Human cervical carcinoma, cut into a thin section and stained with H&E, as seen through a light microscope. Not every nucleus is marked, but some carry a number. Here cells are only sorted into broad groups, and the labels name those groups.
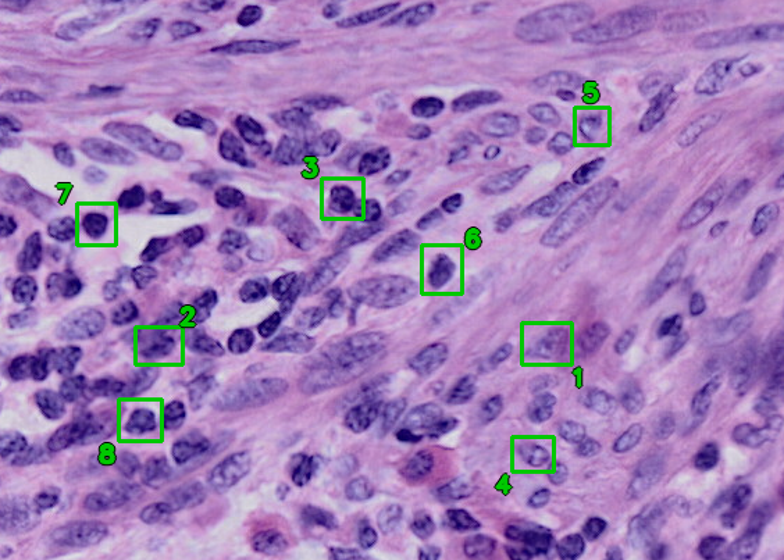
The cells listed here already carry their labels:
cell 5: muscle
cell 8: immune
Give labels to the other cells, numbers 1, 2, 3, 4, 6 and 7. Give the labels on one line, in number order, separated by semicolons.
muscle; immune; immune; muscle; immune; immune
